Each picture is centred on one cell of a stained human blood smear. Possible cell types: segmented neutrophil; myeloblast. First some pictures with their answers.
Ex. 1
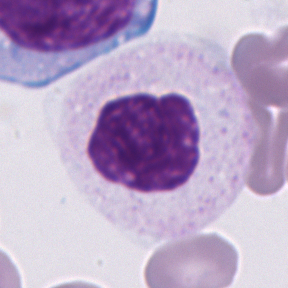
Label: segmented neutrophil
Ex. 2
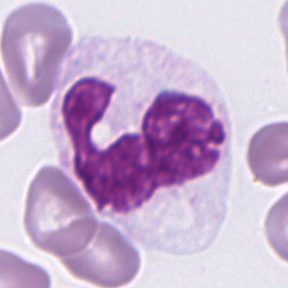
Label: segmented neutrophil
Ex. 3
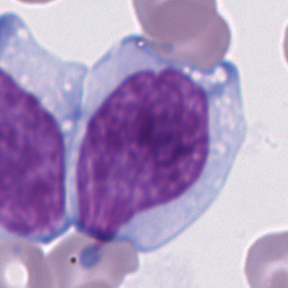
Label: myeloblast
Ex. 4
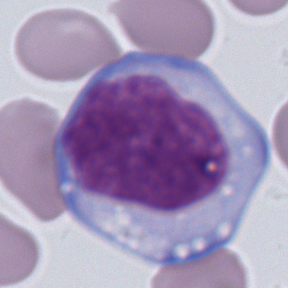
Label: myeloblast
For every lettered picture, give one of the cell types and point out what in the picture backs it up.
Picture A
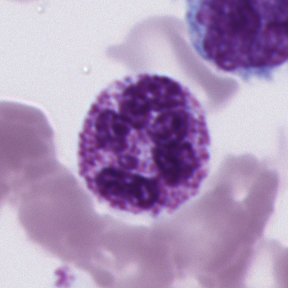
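segmented neutrophil. Between the granules the cytoplasm is pale pinkish.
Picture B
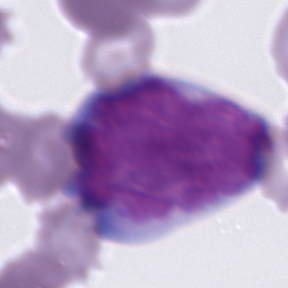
myeloblast. The cytoplasm is a scant pale blue rim, widest below the nucleus.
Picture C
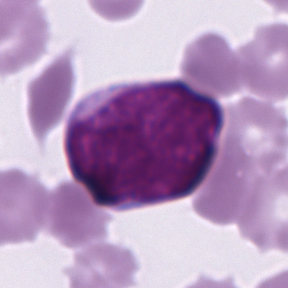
myeloblast. The nucleus fills almost the whole cell.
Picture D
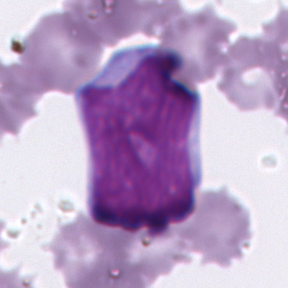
myeloblast. Only a thin pale bluish rim of cytoplasm shows, most clearly along the upper edge.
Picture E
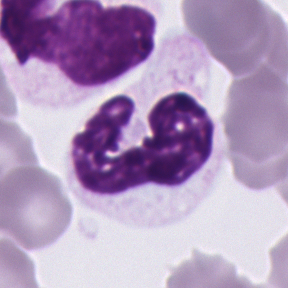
segmented neutrophil. The nucleus is bent into a horseshoe shape whose opening faces upward.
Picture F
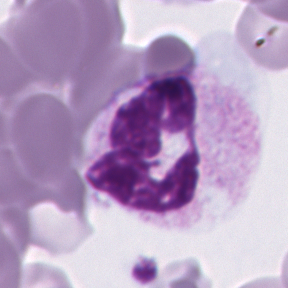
segmented neutrophil. The nucleus is a thick curved band that loops around a pale central gap, like a ring.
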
